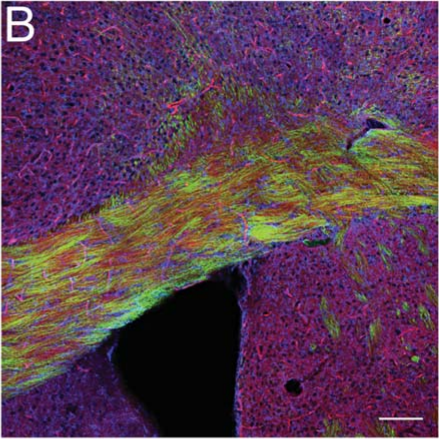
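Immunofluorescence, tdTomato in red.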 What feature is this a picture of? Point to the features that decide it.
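A broad diagonal band of tightly aligned fibres crosses the section. The band lies above a dark, empty ventricular space. Grey matter with scattered cells lies above and below the band. On this evidence: corpus callosum.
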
